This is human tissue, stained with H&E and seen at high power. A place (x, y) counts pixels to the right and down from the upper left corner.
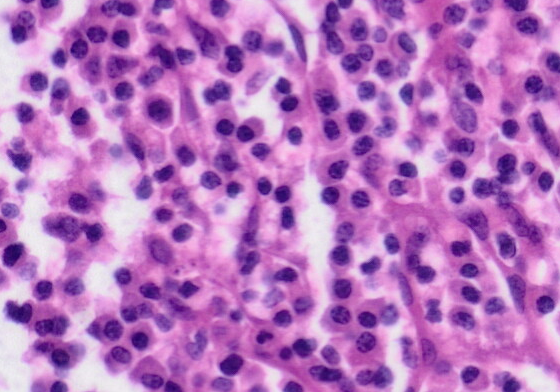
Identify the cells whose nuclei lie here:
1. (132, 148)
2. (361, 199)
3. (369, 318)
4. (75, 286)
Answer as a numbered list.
1. squamous epithelial cell
2. plasma cell
3. plasma cell
4. plasma cell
